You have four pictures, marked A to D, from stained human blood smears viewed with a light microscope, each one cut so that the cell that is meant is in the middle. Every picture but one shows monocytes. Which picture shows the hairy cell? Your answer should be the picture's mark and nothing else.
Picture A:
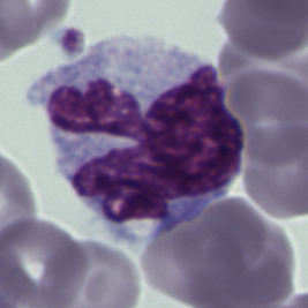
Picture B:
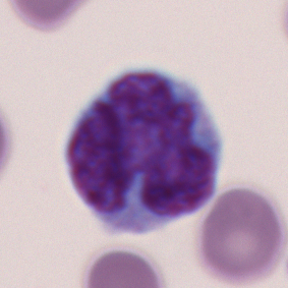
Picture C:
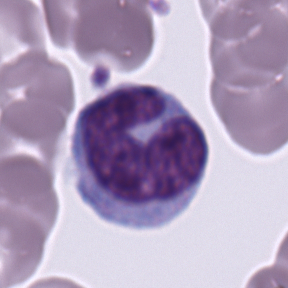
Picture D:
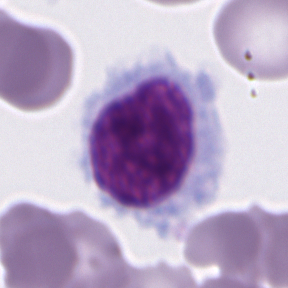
D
